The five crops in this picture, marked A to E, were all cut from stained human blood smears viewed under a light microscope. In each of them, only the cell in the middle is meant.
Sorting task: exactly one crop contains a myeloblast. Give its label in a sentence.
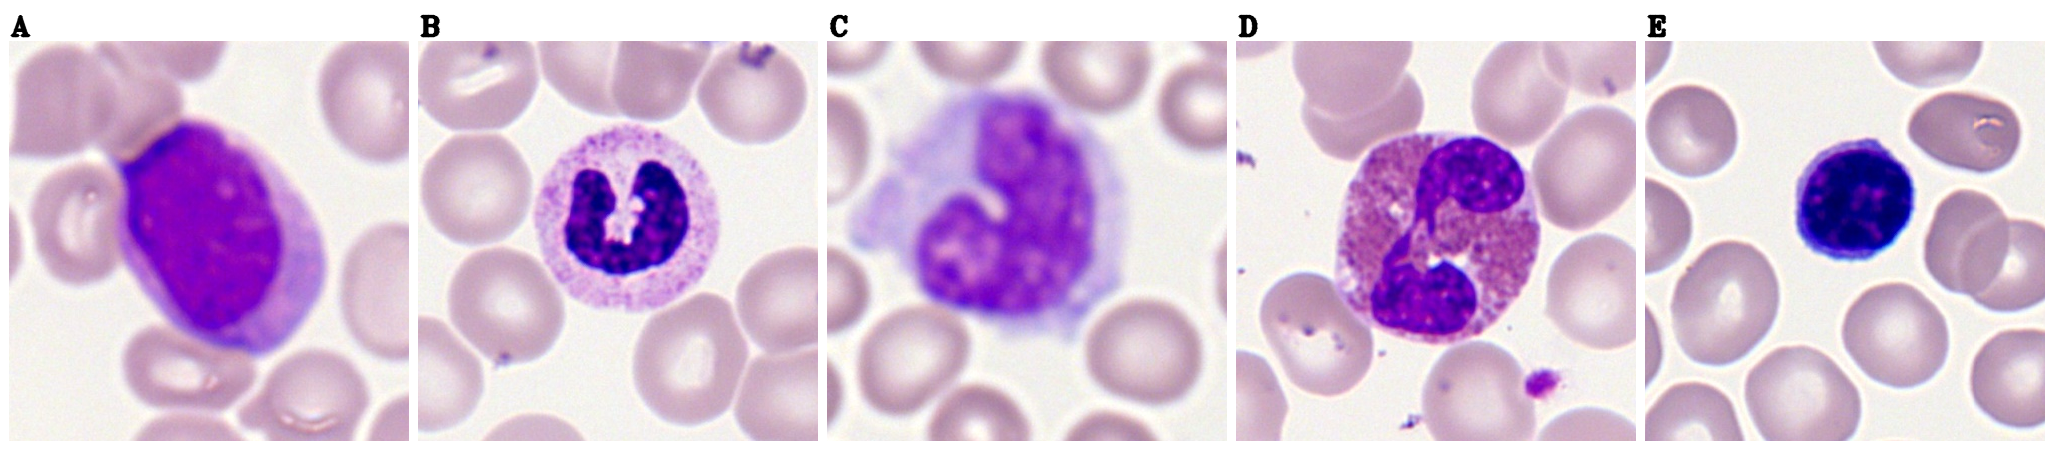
Crop A is where a myeloblast is shown.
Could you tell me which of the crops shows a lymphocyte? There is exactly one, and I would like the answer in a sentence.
Crop E is the correct crop, and it shows a lymphocyte.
